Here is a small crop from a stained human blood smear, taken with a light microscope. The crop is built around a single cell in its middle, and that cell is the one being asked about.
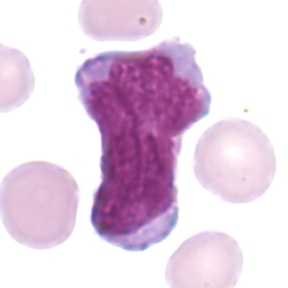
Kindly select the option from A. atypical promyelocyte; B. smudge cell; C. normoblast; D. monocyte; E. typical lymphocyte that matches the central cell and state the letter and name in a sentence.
The cell right in the middle is an atypical promyelocyte, so option A is the one.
